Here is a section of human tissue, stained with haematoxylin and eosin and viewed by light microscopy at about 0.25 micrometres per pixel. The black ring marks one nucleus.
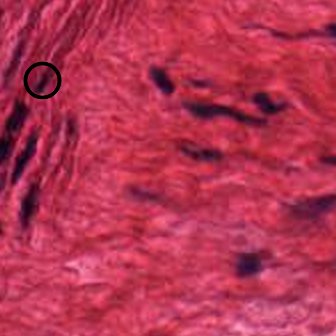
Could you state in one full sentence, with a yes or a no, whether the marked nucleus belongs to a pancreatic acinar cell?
No, the marked nucleus is not owned by a pancreatic acinar cell.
